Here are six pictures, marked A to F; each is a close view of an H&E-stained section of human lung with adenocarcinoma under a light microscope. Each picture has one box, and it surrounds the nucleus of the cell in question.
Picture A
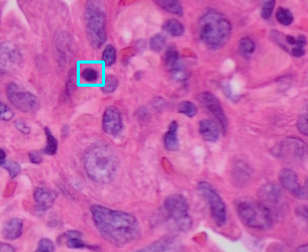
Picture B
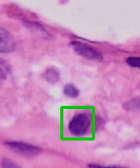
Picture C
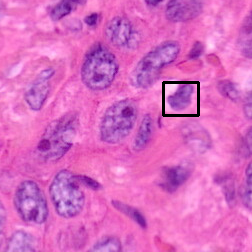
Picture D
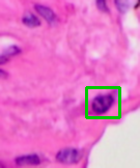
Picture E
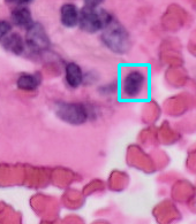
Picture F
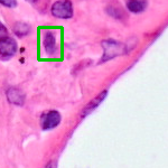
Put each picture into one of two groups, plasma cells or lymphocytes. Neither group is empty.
A: lymphocyte
B: plasma cell
C: lymphocyte
D: plasma cell
E: lymphocyte
F: plasma cell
